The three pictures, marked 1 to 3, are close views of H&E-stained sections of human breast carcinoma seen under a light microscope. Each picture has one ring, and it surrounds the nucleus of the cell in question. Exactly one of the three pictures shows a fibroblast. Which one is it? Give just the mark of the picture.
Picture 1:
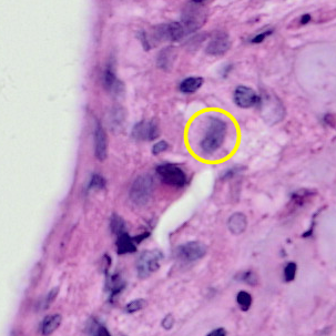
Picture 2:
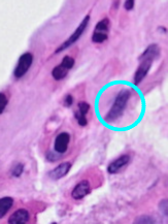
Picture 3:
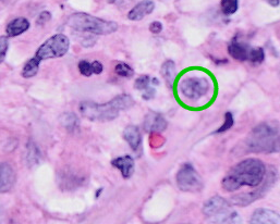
2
